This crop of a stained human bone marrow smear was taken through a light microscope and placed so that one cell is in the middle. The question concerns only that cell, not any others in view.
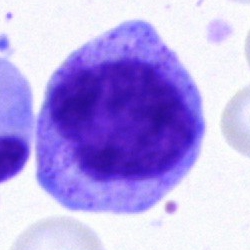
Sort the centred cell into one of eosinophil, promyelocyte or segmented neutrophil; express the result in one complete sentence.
The crop shows a promyelocyte in its centre.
